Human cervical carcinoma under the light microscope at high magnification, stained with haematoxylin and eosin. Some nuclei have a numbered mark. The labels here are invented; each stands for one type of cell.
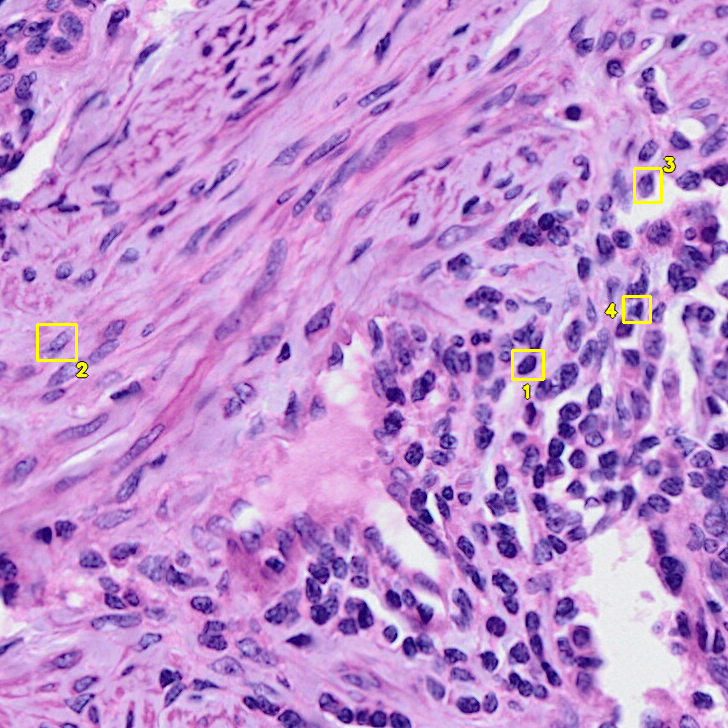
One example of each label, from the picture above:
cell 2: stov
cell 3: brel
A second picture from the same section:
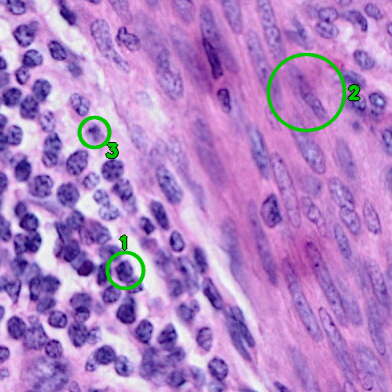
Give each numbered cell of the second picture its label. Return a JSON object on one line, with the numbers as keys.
{"1": "brel", "2": "stov", "3": "brel"}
